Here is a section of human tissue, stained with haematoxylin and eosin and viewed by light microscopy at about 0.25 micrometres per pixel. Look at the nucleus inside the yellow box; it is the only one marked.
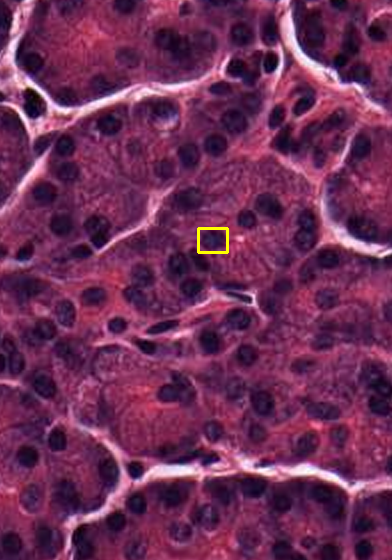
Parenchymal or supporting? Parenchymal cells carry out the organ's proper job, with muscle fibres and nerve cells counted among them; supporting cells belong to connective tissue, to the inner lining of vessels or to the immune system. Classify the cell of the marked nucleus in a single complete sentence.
In this picture the marked nucleus belongs to a pancreatic acinar cell, a parenchymal cell.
